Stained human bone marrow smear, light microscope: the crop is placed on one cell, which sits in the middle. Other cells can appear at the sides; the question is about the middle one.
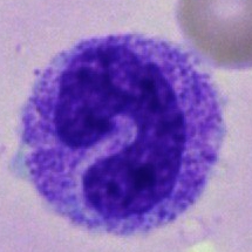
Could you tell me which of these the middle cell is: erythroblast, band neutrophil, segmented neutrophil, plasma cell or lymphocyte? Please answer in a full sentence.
The cell the crop is centered on is a band neutrophil.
